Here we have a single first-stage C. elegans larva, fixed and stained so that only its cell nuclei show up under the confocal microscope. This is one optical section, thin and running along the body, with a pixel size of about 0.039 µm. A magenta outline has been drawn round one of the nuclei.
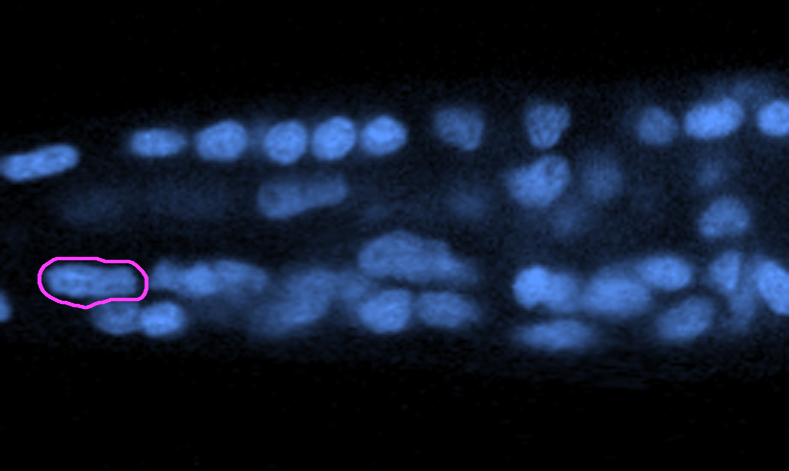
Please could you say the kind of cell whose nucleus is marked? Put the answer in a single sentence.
The marked cell is a pharyngeal epithelial cell.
